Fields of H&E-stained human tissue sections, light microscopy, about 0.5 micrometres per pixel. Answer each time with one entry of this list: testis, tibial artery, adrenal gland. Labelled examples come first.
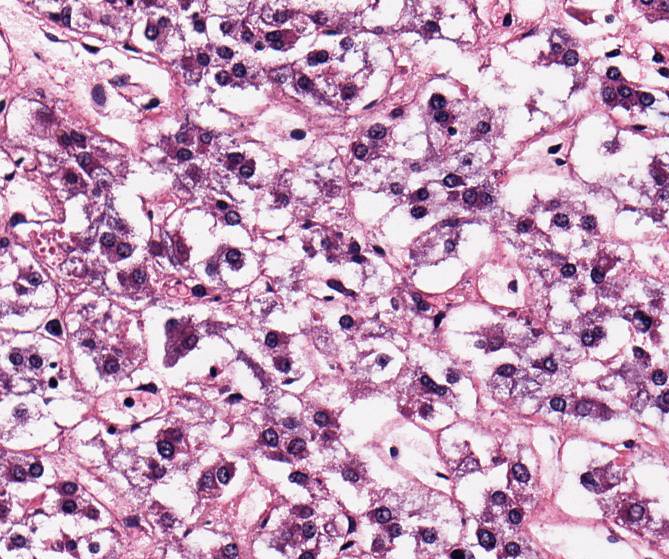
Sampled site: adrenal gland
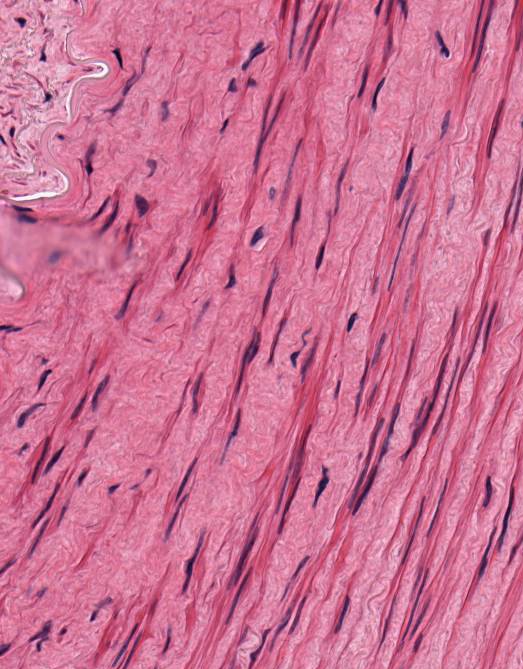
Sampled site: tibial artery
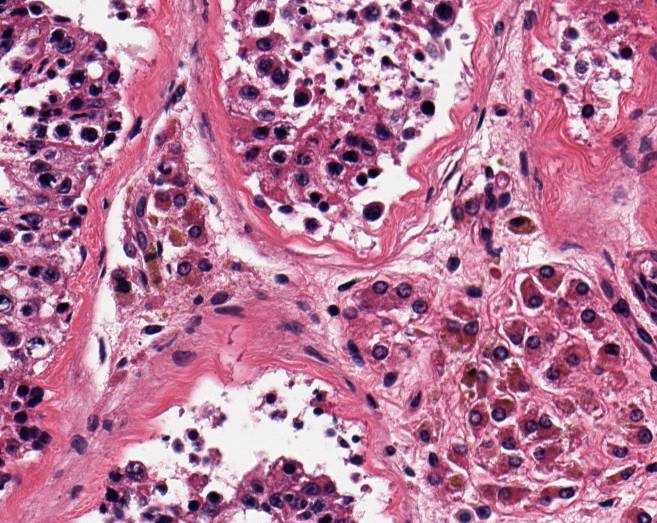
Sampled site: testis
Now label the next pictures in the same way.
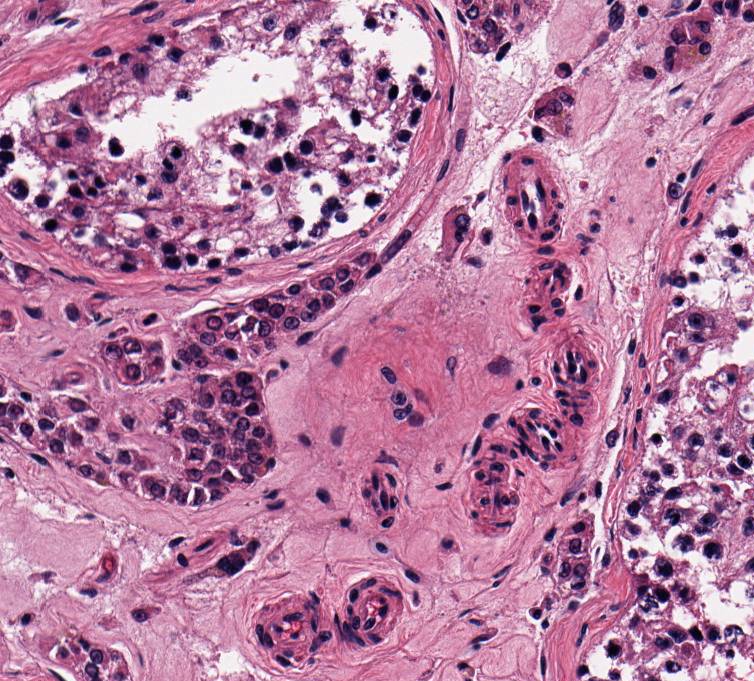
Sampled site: testis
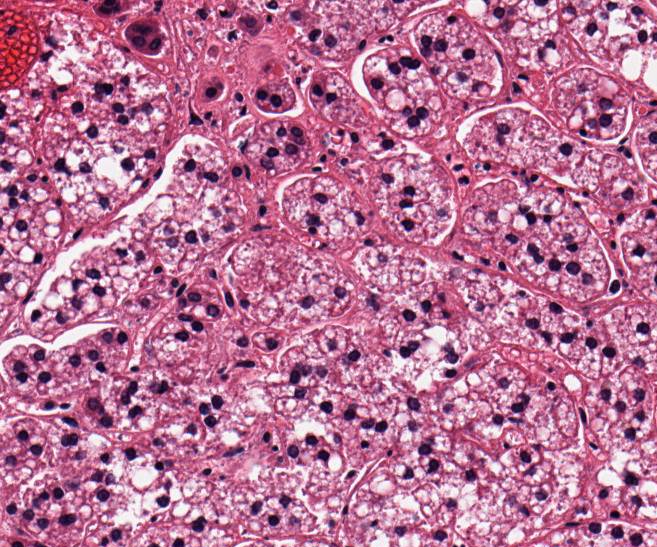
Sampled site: adrenal gland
